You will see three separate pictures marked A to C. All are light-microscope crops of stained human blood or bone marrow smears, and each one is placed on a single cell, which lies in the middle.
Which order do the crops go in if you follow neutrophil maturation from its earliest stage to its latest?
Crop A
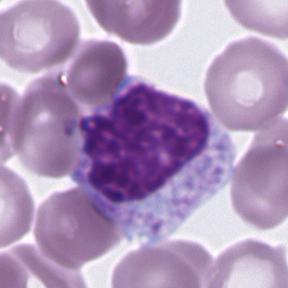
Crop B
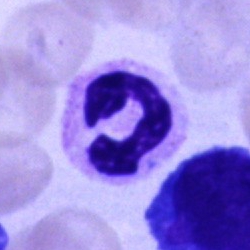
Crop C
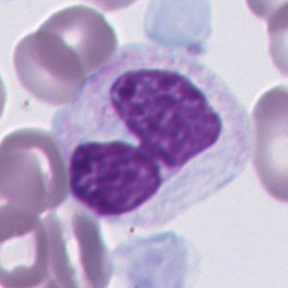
A, C, B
